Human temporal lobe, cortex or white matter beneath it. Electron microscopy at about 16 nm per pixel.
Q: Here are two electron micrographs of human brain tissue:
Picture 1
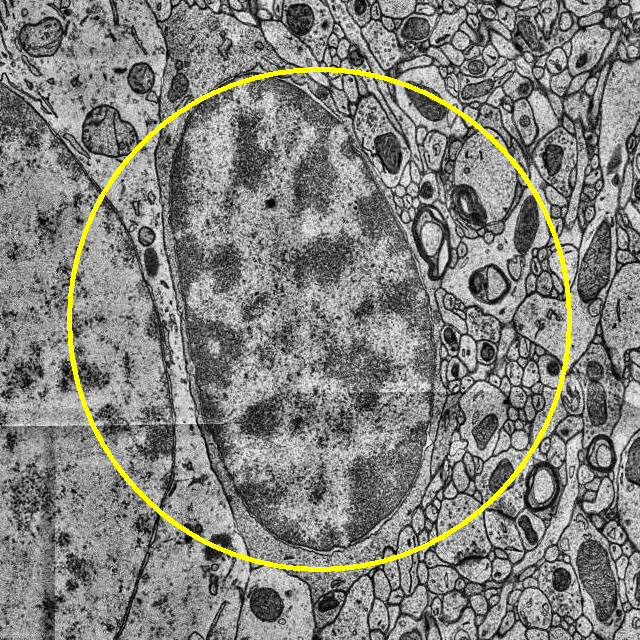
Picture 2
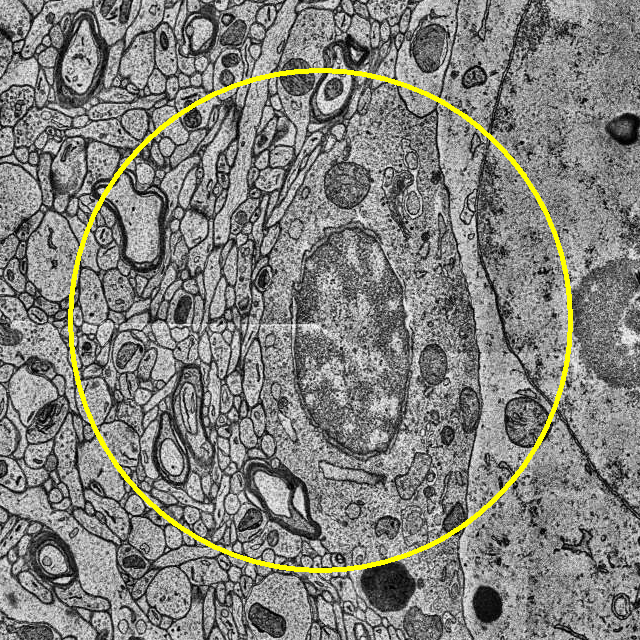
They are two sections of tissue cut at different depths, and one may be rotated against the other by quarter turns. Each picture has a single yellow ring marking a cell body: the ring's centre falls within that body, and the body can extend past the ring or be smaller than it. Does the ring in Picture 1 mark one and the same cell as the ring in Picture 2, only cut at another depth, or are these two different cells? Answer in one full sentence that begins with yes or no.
Yes, what the two rings mark is one cell.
